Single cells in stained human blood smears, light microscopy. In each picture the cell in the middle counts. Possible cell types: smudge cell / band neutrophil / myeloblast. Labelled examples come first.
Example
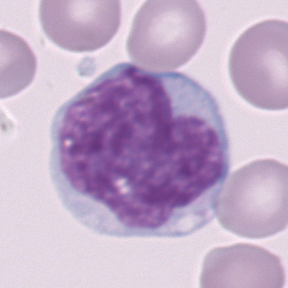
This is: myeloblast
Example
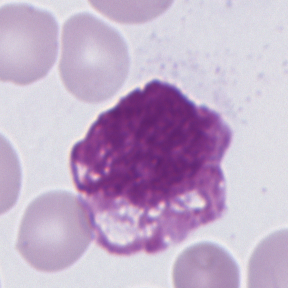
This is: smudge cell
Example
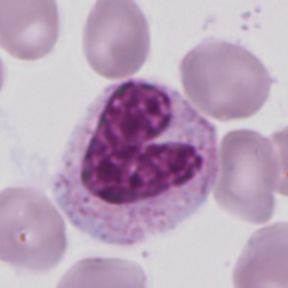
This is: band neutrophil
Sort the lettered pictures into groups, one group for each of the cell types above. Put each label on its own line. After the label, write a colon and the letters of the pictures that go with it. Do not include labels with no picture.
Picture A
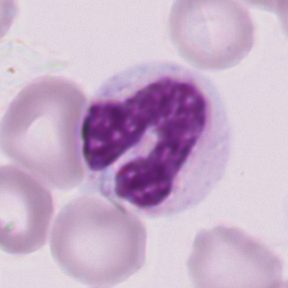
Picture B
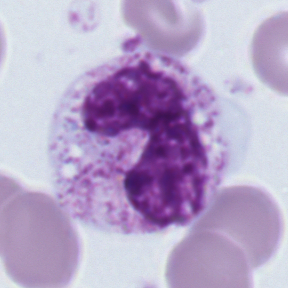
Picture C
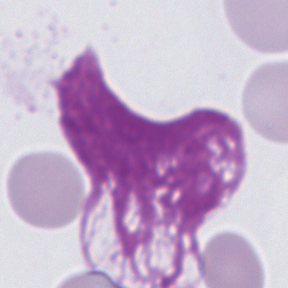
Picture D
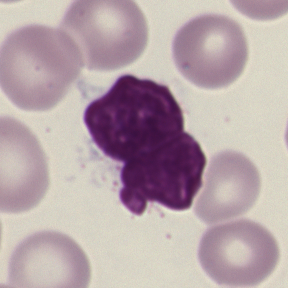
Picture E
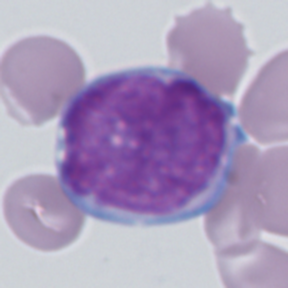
smudge cell: C, D
band neutrophil: A, B
myeloblast: E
